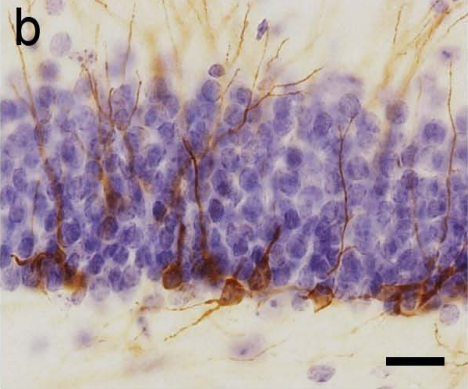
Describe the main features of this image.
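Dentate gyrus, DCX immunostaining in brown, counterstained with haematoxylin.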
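The brown cell bodies sit along the lower border of the layer, where it meets the sparser hilus below. From them long, thin, slightly wavy brown dendrites climb upward through the whole thickness of the granule layer and branch beyond it into the overlying layer. A few short brown processes also run horizontally along the base of the layer. The blue nuclei are tightly packed, round to oval and fairly uniform.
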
